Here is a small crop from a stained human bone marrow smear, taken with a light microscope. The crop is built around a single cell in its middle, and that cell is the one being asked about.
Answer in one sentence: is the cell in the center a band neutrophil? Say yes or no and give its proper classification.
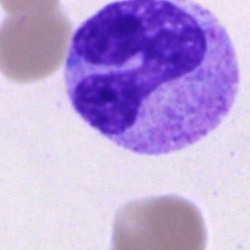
Yes, the cell in the central position is a band neutrophil.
